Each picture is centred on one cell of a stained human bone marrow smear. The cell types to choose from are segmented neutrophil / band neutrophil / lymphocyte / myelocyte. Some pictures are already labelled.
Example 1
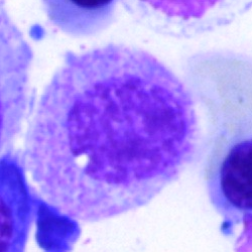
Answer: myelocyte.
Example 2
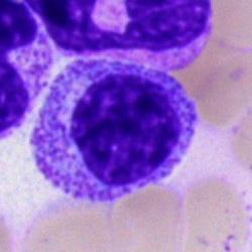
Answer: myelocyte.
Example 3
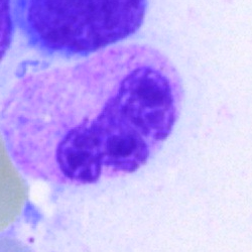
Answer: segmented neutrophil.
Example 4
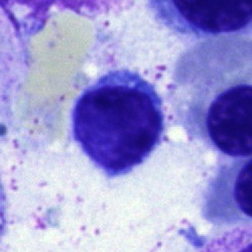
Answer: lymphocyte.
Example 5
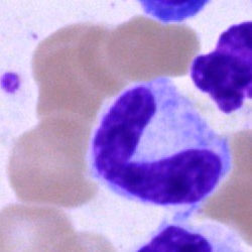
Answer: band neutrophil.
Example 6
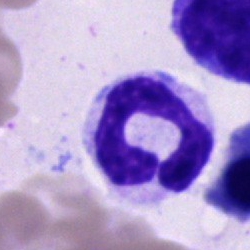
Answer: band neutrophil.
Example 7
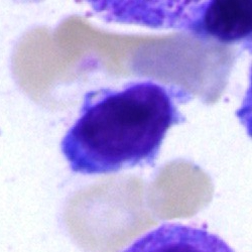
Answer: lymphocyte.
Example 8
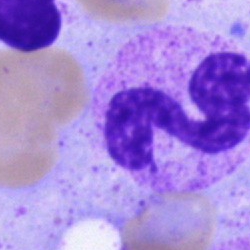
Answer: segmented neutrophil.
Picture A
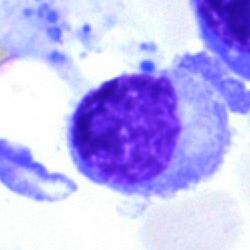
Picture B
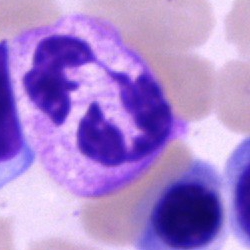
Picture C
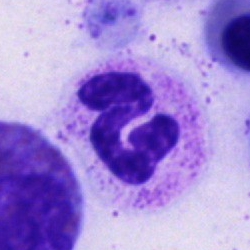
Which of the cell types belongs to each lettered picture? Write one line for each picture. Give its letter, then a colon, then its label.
A: lymphocyte.
B: segmented neutrophil.
C: segmented neutrophil.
